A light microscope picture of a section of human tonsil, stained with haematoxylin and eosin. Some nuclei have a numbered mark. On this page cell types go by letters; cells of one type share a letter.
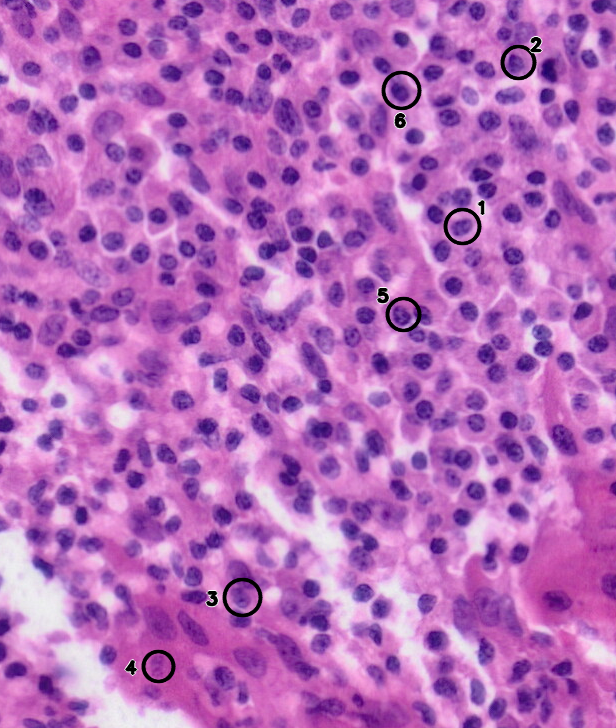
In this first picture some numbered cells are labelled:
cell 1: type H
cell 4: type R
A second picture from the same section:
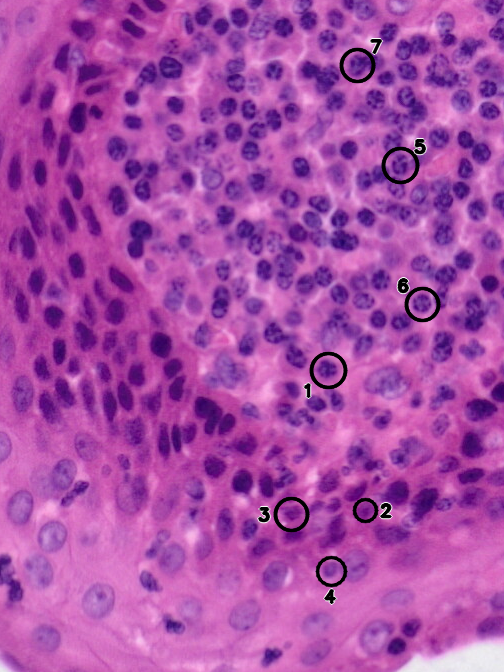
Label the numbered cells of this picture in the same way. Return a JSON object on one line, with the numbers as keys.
{"1": "type H", "2": "type R", "3": "type R", "4": "type R", "5": "type H", "6": "type H", "7": "type H"}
